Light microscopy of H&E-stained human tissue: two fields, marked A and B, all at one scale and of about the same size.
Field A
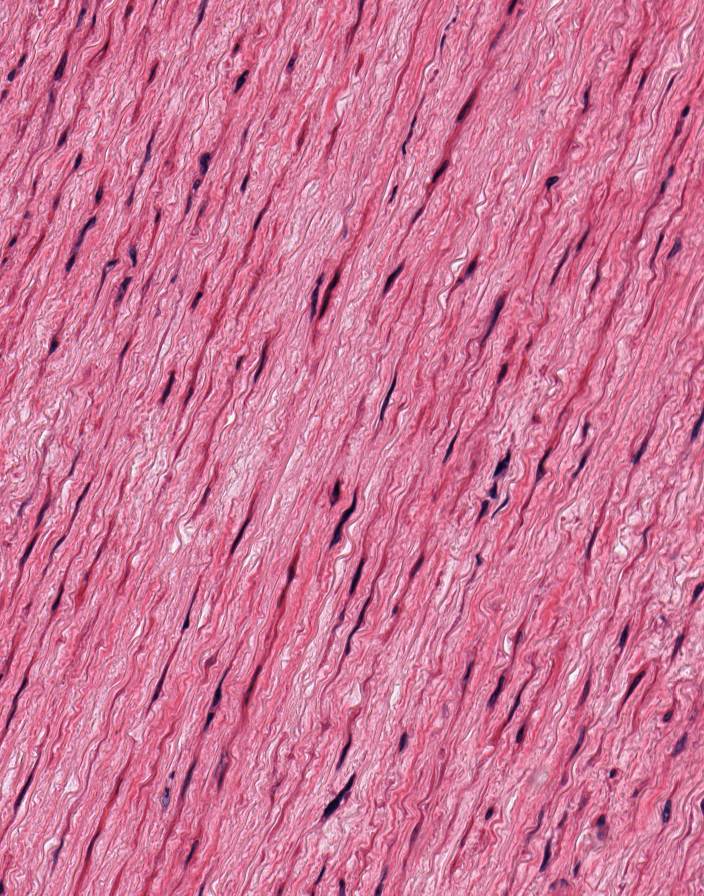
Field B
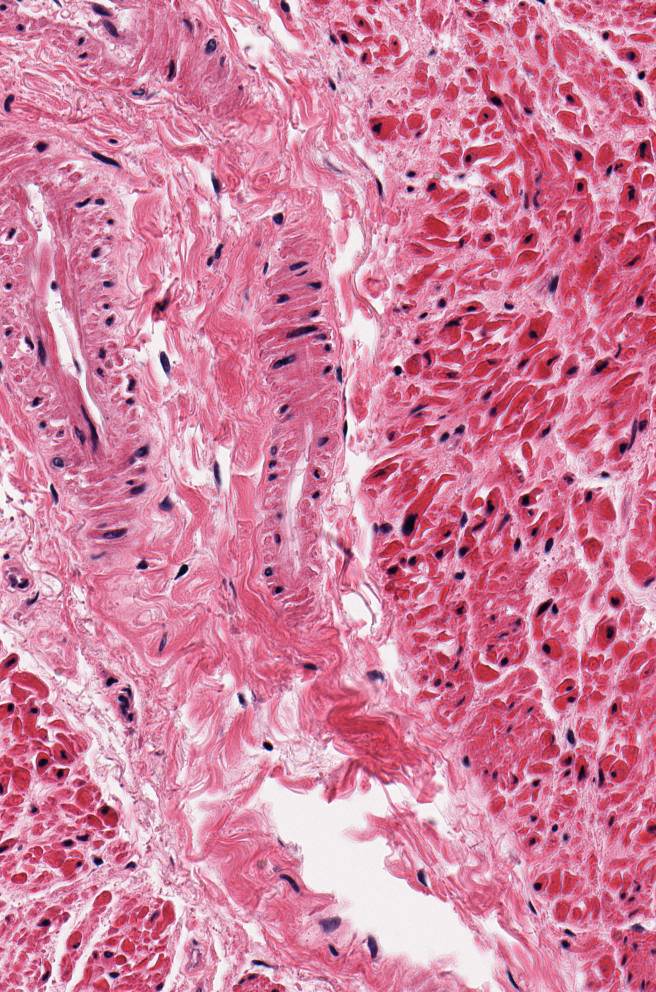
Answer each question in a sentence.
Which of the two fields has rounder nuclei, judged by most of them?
It is field B whose nuclei are the rounder.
